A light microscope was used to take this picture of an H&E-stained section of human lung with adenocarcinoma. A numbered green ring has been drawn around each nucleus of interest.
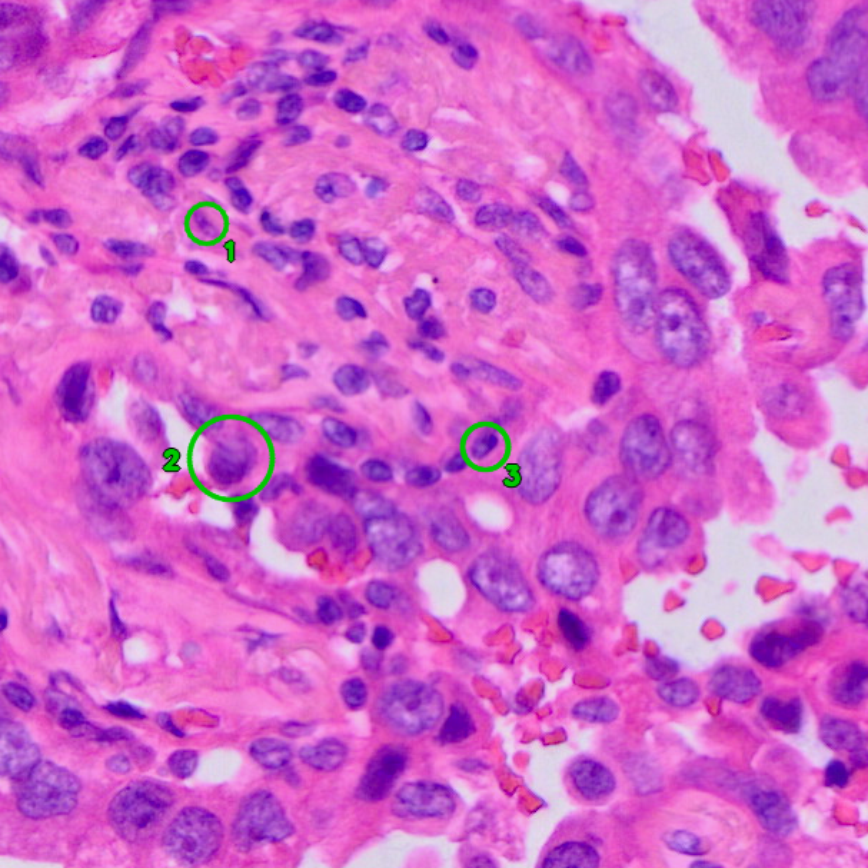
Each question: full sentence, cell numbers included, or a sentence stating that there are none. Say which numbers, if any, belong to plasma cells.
Only the cell numbered 1 is a plasma cell; none of the others is.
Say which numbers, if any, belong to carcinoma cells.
Nothing but cell 2 is a carcinoma cell among the numbered ones.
